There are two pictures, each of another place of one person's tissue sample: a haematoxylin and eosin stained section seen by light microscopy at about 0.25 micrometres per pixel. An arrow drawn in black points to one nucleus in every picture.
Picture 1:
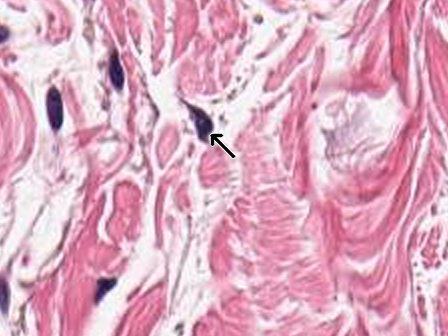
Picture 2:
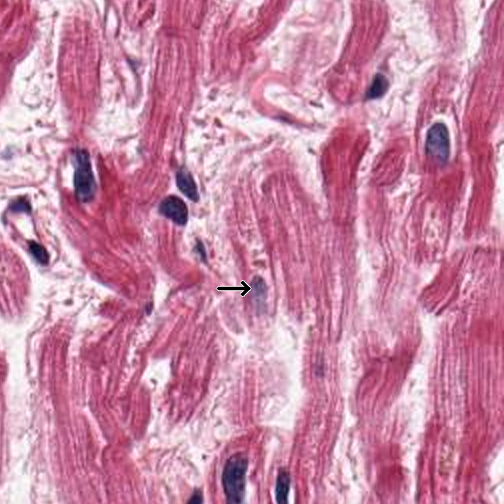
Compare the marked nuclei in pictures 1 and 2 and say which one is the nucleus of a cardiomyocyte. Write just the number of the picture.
2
